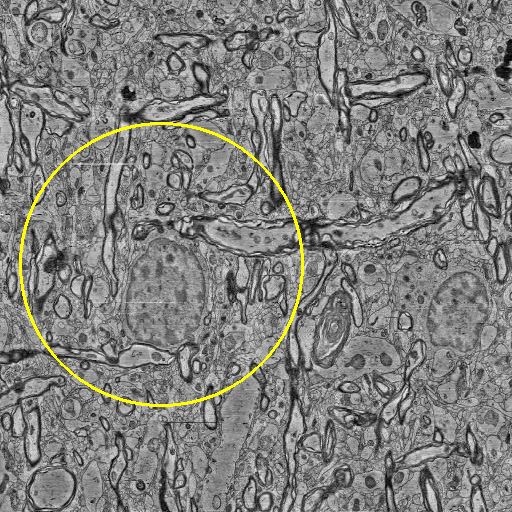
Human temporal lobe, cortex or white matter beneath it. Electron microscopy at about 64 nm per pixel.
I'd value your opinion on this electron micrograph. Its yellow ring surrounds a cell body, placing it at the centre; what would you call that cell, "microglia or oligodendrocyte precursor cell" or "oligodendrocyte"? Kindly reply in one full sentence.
It is an oligodendrocyte that sits centred within the yellow ring in this micrograph.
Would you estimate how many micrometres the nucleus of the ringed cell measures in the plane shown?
In this plane, the nucleus of the cell at the centre of the ring measures about 7 by 5 micrometres.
